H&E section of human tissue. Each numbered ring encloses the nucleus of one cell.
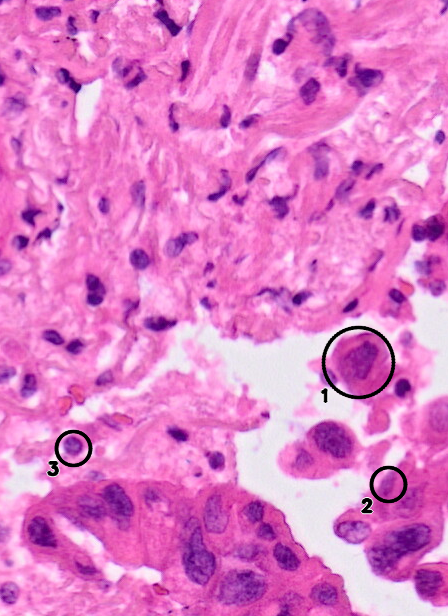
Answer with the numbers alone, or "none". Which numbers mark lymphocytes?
3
